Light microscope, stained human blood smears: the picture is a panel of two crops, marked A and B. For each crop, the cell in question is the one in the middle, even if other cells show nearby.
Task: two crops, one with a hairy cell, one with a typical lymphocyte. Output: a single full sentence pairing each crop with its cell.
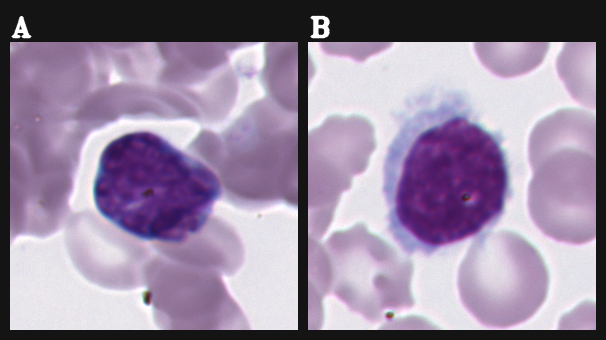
Here crop A is a typical lymphocyte, and crop B is a hairy cell.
